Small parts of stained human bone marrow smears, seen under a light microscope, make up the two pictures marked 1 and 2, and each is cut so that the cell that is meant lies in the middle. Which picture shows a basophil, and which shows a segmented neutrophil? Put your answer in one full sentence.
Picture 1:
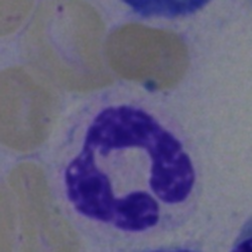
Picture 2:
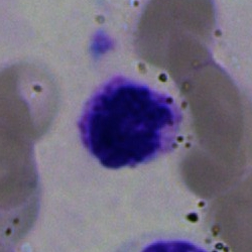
Picture 1 is of a segmented neutrophil, and picture 2 is of a basophil.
